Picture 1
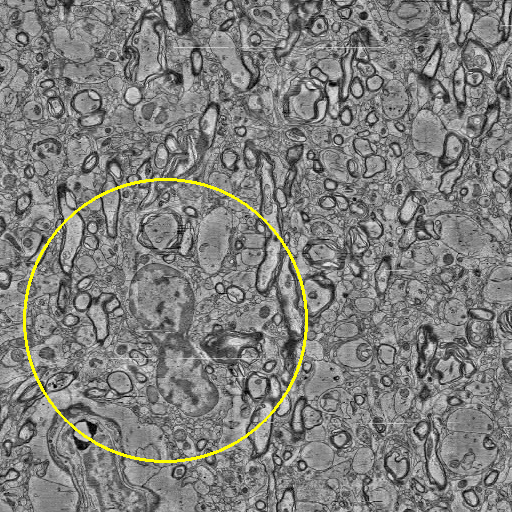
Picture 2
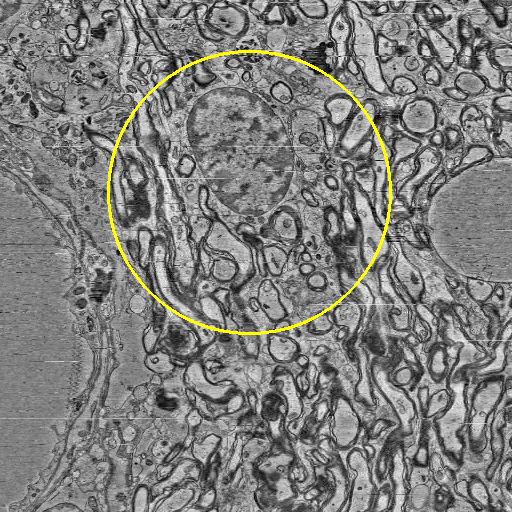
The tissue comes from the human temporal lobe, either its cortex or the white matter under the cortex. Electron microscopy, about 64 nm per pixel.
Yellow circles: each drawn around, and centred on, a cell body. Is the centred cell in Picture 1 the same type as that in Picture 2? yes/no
yes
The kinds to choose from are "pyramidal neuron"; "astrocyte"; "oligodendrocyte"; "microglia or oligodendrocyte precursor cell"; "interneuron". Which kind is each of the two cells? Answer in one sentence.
In each picture the ringed cell is a microglial cell or oligodendrocyte precursor cell.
